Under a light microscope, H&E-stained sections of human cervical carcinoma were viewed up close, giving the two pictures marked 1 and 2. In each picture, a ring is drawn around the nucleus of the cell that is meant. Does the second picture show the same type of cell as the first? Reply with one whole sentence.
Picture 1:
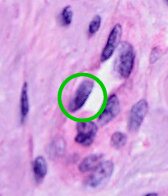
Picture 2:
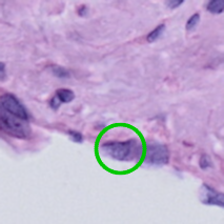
Yes; the cells in both pictures are endothelial cells.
